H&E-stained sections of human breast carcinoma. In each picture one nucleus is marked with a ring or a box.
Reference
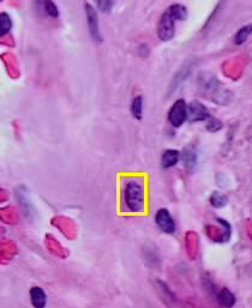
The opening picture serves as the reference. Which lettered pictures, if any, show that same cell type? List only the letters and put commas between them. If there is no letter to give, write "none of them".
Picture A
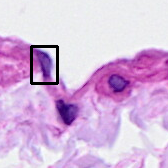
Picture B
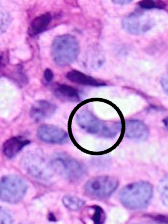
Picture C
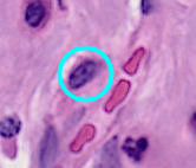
C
